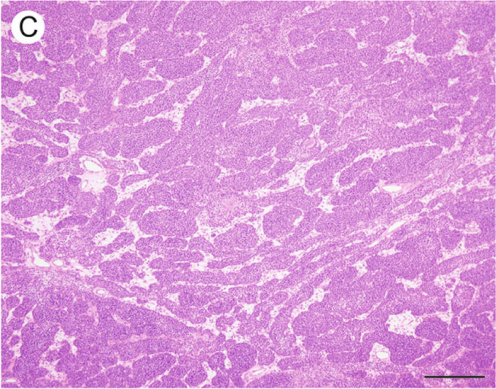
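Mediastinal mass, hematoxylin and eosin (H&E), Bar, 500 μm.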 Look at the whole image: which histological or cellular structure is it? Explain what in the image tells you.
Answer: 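Small cellular nests and cords. Cells are grouped in small rounded clusters and elongated strands. The clusters are separated by pale loose spaces.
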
